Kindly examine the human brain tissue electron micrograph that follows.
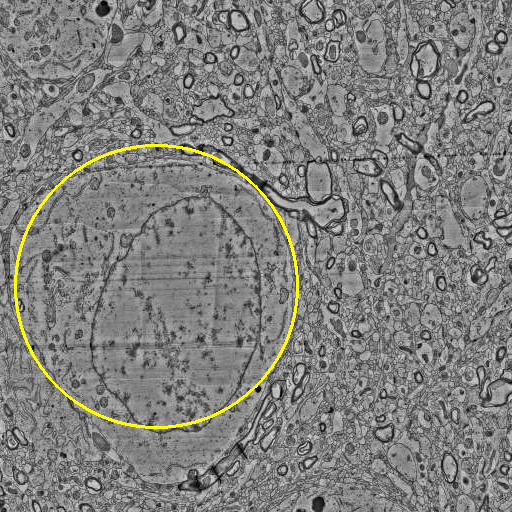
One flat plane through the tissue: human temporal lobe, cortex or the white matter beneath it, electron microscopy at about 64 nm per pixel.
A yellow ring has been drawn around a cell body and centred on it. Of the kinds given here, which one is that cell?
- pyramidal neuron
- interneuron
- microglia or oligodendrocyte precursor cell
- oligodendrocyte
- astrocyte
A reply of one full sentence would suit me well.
The micrograph's ringed cell, the one at the ring's centre, is a pyramidal neuron.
